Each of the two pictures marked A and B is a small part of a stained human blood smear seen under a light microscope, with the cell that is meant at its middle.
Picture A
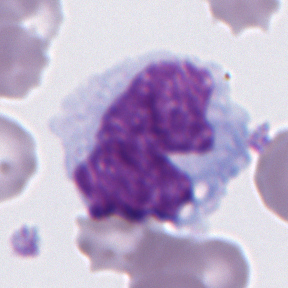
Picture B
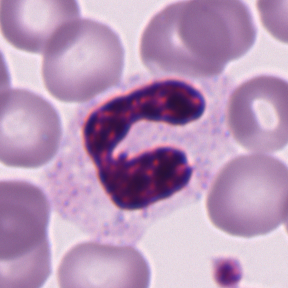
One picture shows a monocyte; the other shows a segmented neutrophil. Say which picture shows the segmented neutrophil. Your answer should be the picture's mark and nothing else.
B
